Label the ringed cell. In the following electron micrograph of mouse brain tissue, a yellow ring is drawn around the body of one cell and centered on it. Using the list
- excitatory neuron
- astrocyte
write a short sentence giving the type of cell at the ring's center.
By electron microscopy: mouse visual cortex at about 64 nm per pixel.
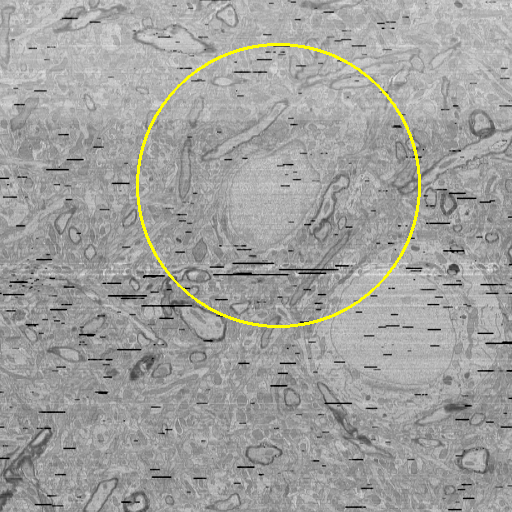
The cell body at the ring's center is that of an astrocyte.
